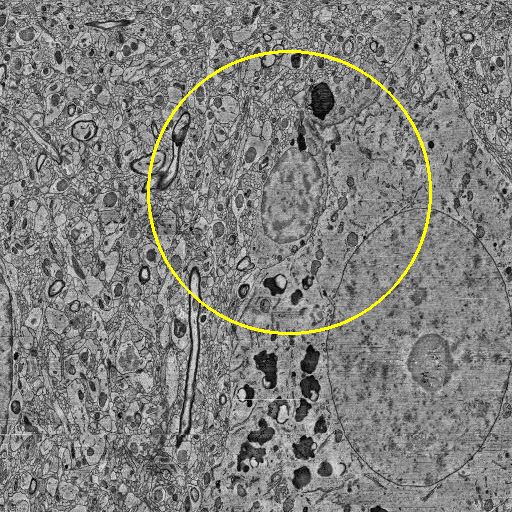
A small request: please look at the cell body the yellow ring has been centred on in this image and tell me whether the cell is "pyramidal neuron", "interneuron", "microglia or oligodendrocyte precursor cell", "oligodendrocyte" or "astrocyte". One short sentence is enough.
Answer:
The cell marked by the ring is an oligodendrocyte.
